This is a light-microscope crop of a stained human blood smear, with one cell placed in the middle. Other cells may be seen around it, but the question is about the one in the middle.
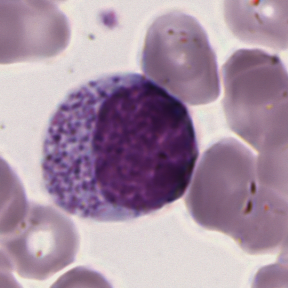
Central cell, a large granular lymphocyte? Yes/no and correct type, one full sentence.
No, the centrally located cell is a myelocyte rather than a large granular lymphocyte.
